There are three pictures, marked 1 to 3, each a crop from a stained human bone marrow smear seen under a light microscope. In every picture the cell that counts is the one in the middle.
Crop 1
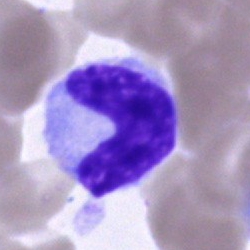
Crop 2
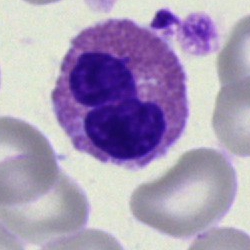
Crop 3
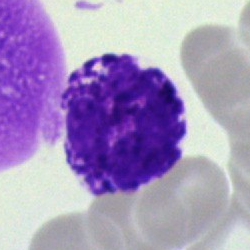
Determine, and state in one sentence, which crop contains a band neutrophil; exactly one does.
It is in crop 1, among all the crops, that a band neutrophil is present.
